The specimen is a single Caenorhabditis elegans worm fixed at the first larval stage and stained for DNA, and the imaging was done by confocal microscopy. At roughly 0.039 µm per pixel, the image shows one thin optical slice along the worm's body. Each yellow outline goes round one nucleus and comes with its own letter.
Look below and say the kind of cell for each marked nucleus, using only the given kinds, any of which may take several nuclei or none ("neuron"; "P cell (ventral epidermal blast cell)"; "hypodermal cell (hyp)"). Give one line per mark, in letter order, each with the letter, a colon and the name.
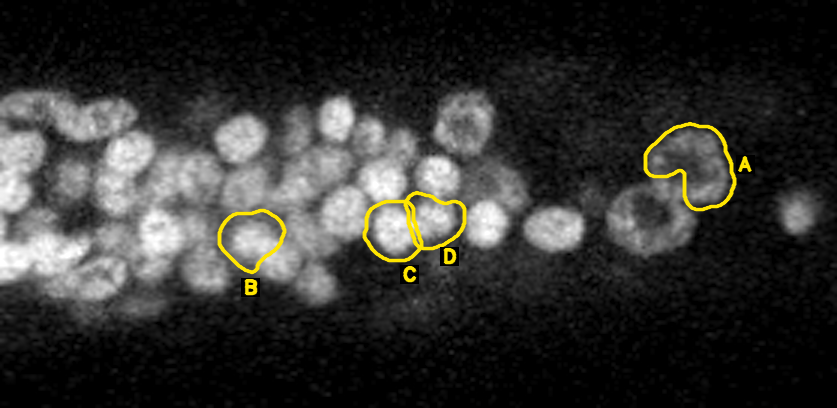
A: hypodermal cell (hyp)
B: neuron
C: neuron
D: neuron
